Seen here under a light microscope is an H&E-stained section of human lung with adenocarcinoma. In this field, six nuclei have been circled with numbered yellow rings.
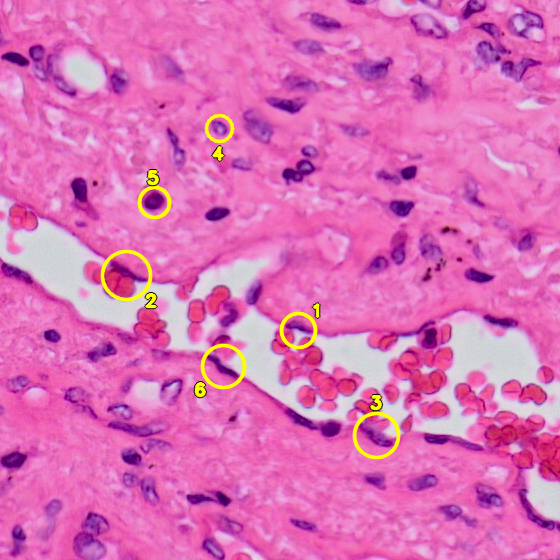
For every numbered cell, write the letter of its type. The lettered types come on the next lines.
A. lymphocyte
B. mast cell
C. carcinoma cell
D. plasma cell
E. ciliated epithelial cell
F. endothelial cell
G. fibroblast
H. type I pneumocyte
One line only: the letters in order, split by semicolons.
F; F; F; B; D; F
